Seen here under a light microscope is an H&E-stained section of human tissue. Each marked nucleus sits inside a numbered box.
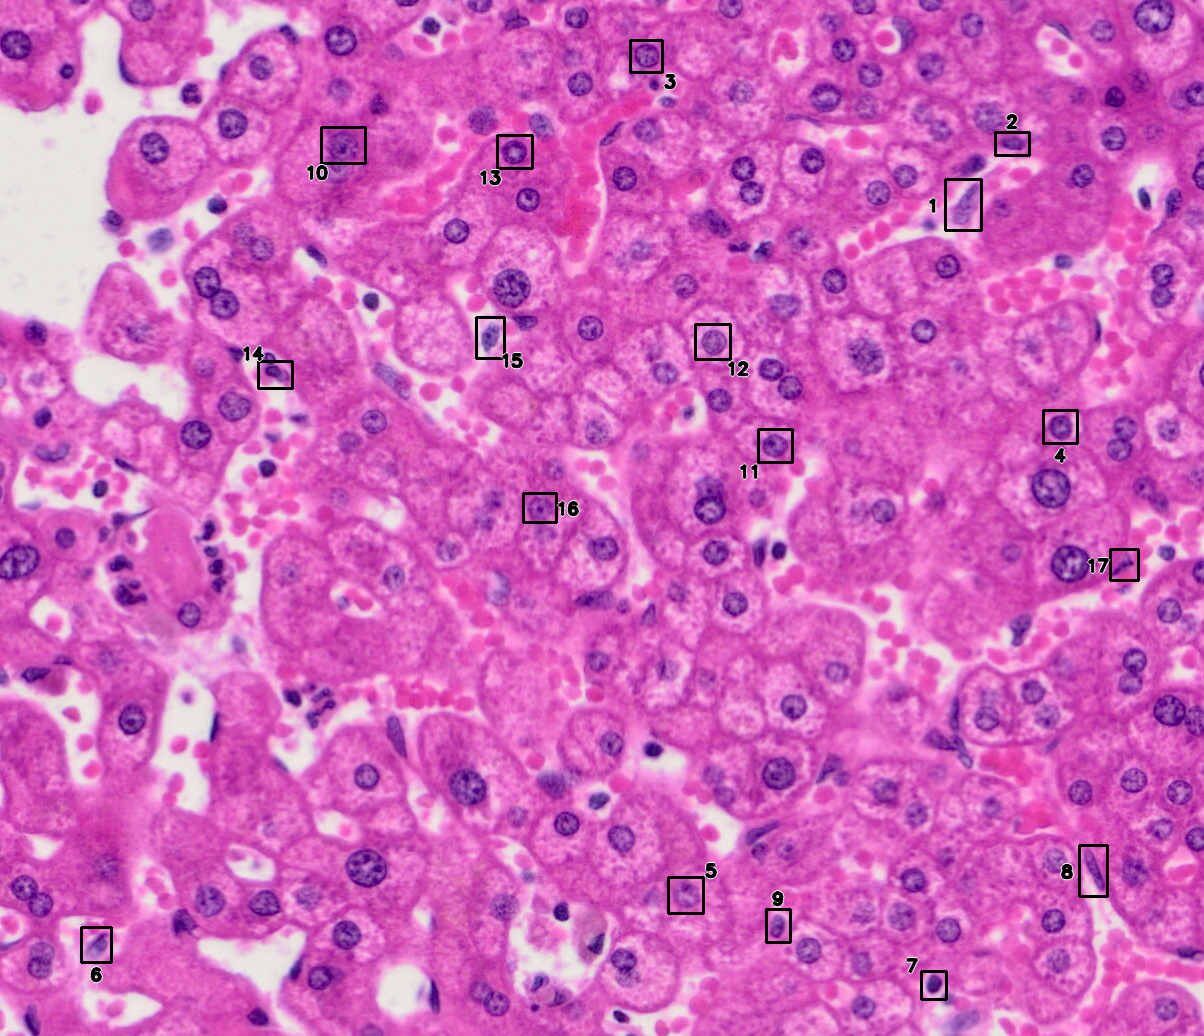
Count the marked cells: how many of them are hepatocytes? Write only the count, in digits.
8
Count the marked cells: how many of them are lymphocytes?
3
